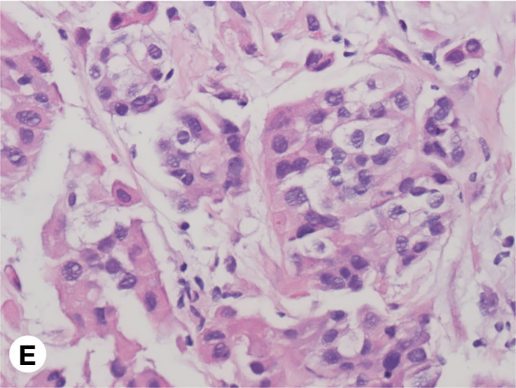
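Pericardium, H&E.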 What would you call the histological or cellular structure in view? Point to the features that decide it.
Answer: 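Cells grouped in clusters separated by pale loose stroma. Some clusters form small lumen-like spaces.
Conclusion: nested or glandular shape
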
